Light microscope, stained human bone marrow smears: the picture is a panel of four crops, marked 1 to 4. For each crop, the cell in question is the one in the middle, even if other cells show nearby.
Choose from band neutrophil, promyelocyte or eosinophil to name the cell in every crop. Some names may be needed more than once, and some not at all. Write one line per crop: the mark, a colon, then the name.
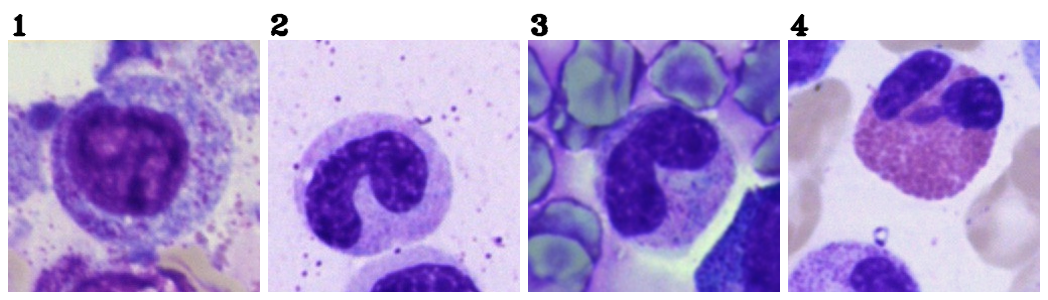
1: promyelocyte
2: band neutrophil
3: band neutrophil
4: eosinophil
